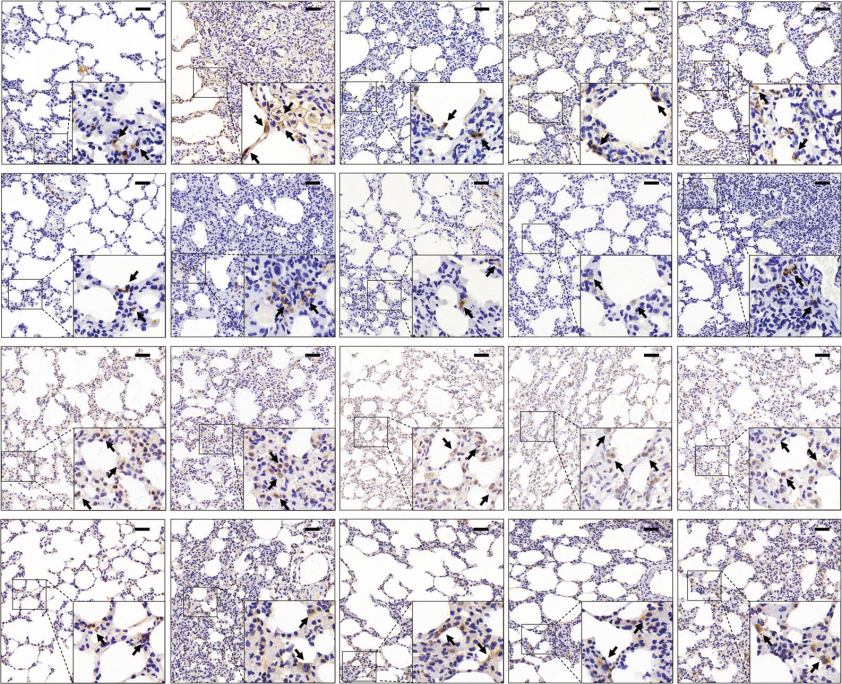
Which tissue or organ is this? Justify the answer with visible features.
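Many thin-walled open air spaces separated by narrow septa. The tissue has a lace-like, spongy architecture. Some fields have thickened, cell-dense regions between the air spaces.
Conclusion: Pulmonary tissue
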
